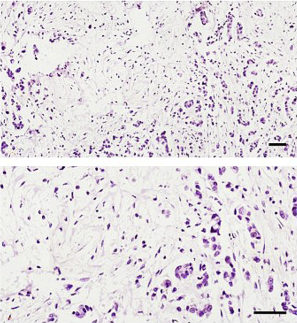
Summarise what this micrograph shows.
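The tissue consists of loose, pale fibrous stroma in which small groups of epithelial cells and scattered spindle-shaped stromal nuclei lie. Nuclei are stained blue-purple, and brown staining is scarce or absent.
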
